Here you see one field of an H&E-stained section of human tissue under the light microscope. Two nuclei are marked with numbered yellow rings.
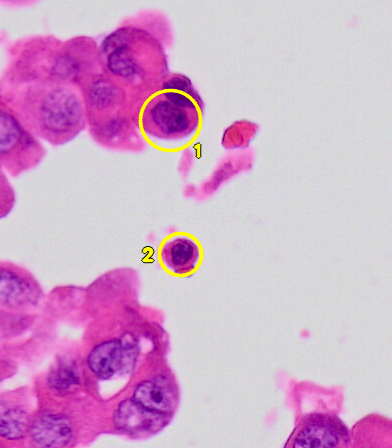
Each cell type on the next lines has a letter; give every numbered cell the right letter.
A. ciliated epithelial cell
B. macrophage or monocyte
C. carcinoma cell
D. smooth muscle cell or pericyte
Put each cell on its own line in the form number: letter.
1: C
2: B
